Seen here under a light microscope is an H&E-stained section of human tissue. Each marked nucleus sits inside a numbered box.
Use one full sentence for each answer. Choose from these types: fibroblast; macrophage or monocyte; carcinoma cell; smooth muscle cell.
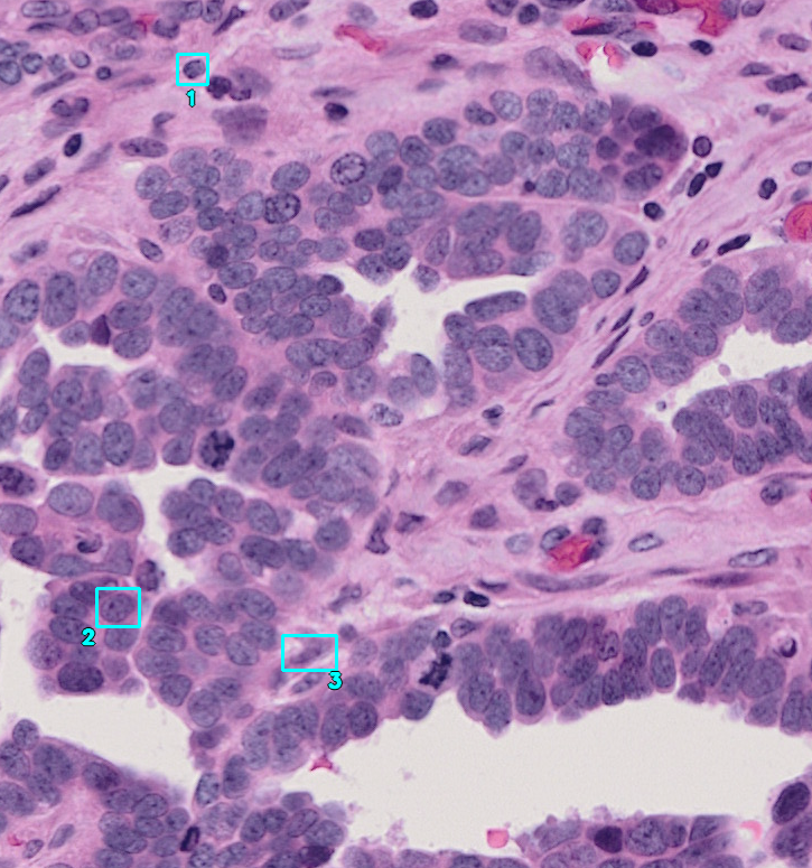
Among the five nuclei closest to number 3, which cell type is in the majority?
Most of the five nuclei nearest to number 3 are those of macrophages or monocytes.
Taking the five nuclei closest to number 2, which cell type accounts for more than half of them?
Of the five nuclei nearest to number 2, most belong to carcinoma cells.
